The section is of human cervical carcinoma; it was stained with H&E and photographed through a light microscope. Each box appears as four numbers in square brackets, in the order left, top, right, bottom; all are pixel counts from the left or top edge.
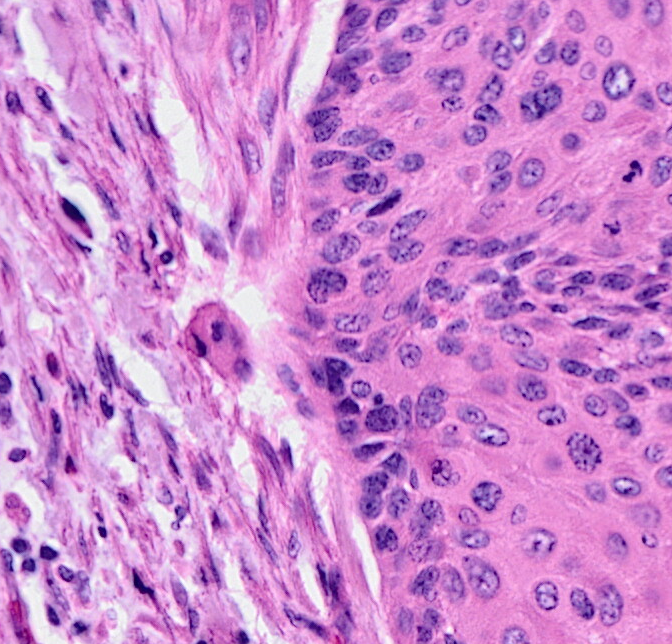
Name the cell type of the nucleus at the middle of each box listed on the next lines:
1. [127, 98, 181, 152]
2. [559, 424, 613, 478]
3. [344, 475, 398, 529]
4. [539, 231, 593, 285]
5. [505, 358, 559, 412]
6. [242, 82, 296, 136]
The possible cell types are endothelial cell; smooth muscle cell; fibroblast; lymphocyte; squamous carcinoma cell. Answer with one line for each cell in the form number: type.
1: fibroblast
2: squamous carcinoma cell
3: squamous carcinoma cell
4: squamous carcinoma cell
5: squamous carcinoma cell
6: fibroblast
